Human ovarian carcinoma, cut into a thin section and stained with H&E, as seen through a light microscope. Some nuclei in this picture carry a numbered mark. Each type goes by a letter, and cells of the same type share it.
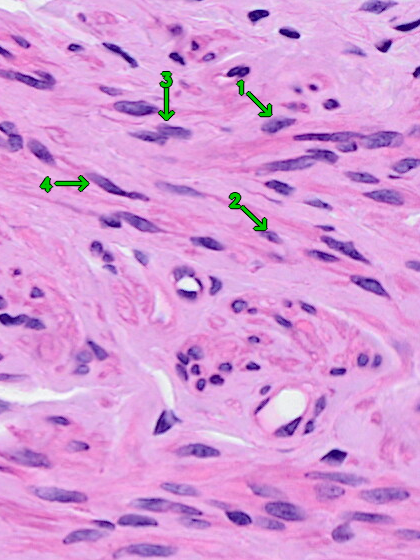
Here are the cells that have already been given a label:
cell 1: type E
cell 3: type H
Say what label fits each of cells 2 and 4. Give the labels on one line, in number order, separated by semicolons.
type E; type E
